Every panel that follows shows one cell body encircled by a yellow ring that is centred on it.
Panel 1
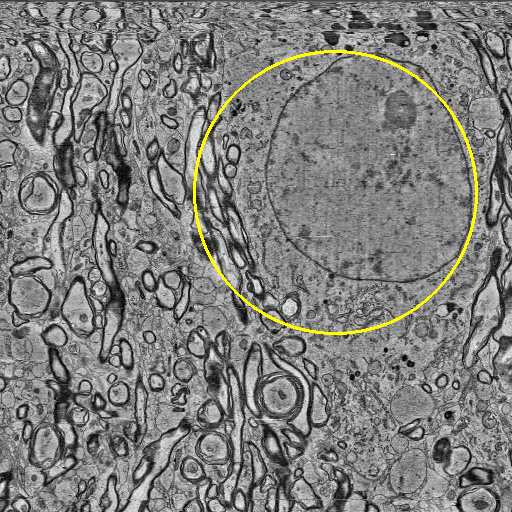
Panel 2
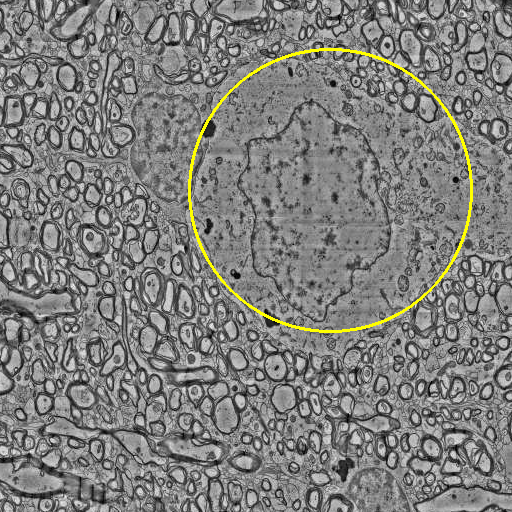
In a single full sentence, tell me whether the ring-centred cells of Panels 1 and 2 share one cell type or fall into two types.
In Panel 1 and Panel 2, the cells at the ring centres share one cell type.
